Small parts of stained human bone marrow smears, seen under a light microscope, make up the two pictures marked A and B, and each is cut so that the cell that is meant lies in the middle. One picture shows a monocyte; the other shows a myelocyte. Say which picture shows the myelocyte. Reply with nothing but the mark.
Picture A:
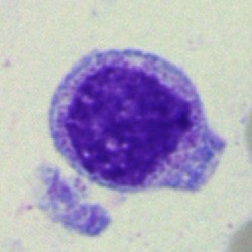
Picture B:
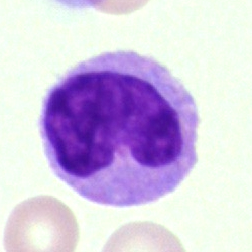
A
